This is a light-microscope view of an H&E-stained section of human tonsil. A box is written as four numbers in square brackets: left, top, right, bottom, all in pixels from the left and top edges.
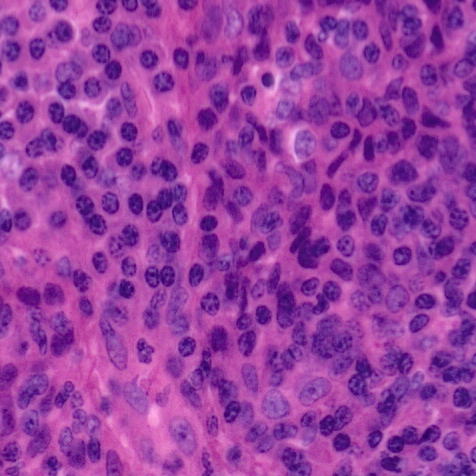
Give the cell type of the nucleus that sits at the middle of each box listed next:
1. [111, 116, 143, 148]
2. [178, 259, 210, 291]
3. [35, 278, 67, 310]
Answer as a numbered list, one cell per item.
1. plasma cell
2. plasma cell
3. squamous epithelial cell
